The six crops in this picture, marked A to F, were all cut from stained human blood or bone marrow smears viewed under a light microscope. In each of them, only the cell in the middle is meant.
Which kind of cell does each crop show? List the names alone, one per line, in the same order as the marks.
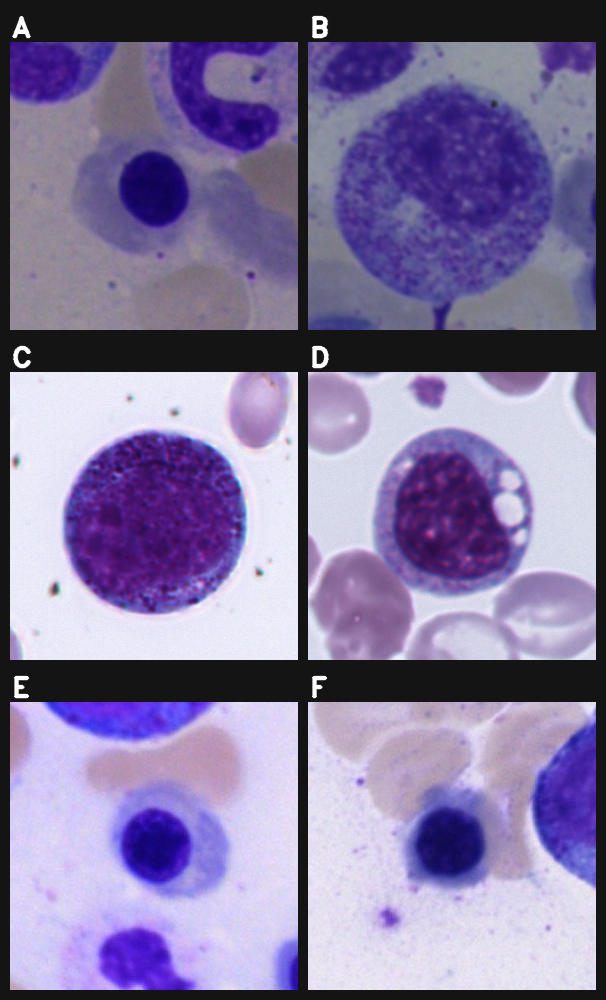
normoblast
promyelocyte
promyelocyte
promyelocyte
normoblast
normoblast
